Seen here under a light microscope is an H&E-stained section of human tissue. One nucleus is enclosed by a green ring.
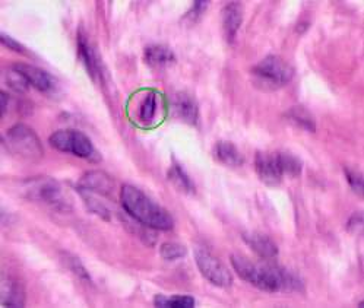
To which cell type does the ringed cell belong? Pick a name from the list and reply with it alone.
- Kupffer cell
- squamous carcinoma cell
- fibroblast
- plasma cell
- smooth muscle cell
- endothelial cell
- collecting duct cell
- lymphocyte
fibroblast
